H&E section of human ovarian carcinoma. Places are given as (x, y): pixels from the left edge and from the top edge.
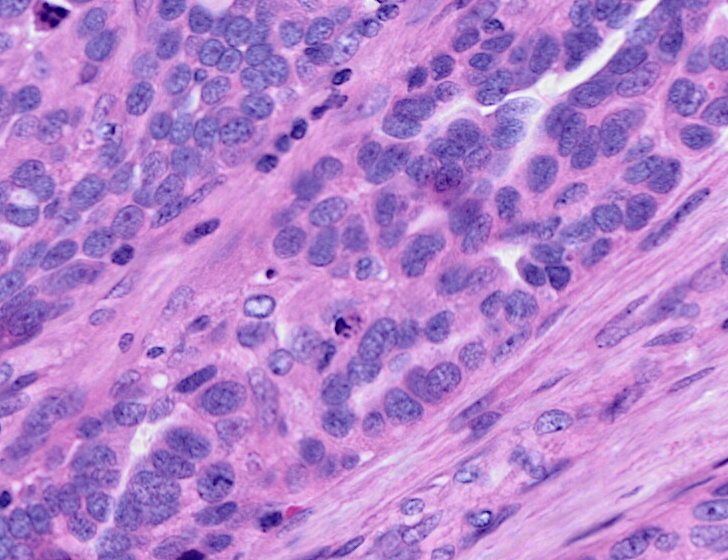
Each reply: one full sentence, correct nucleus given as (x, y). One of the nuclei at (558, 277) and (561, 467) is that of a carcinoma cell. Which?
The nucleus located at (558, 277) is the one held within a carcinoma cell.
